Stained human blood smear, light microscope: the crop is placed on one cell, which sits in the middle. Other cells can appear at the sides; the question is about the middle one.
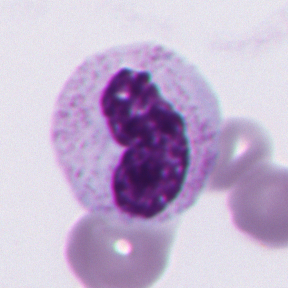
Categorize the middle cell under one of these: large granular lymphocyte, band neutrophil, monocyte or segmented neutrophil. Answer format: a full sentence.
The cell at the centre of the field is a band neutrophil.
